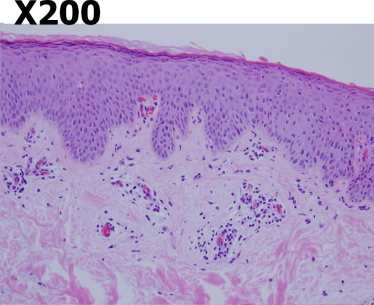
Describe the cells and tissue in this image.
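Skin with thickened epidermis of purple-stained keratinocytes. A thin compact pink cornified layer covers the surface, without a visible basket-weave pattern. Dermal papillae between the ridges contain small vessels with bright red red blood cells. Clusters of small dark round nuclei of inflammatory cells lie around vessels in the upper dermis. Deeper dermis shows loose pink collagen bundles.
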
